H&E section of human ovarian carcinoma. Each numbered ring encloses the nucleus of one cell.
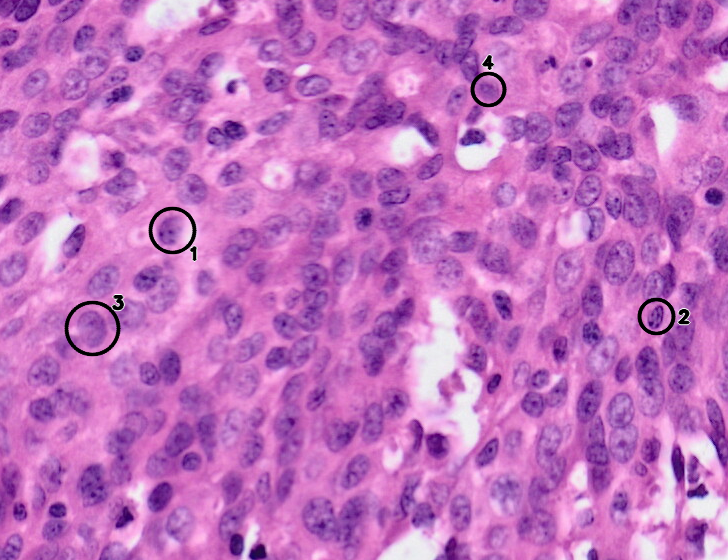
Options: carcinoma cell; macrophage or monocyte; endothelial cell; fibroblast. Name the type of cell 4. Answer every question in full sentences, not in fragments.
In this section, number 4 marks a carcinoma cell.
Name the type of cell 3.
Cell 3, among those numbered, is a carcinoma cell.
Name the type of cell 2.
The cell to which the number 2 is assigned is a macrophage or monocyte.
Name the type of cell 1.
The correct label for cell 1 is a macrophage or monocyte.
